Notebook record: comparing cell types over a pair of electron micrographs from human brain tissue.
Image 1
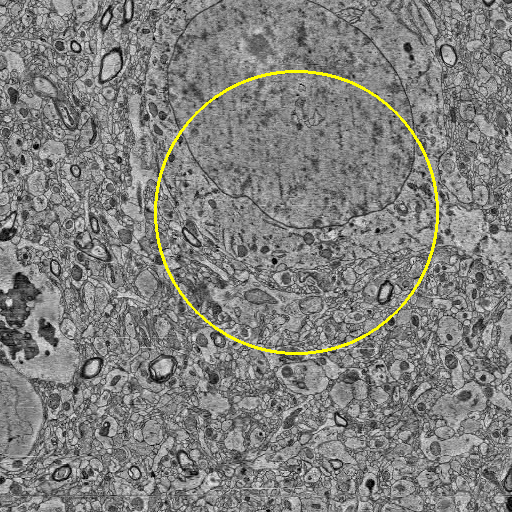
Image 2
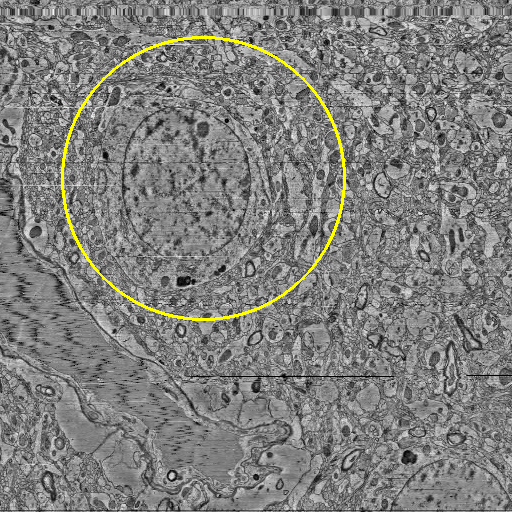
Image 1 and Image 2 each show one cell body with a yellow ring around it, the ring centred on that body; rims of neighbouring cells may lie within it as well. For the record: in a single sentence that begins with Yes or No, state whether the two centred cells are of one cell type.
Yes, one cell type is shared by the centred cells of Image 1 and Image 2.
